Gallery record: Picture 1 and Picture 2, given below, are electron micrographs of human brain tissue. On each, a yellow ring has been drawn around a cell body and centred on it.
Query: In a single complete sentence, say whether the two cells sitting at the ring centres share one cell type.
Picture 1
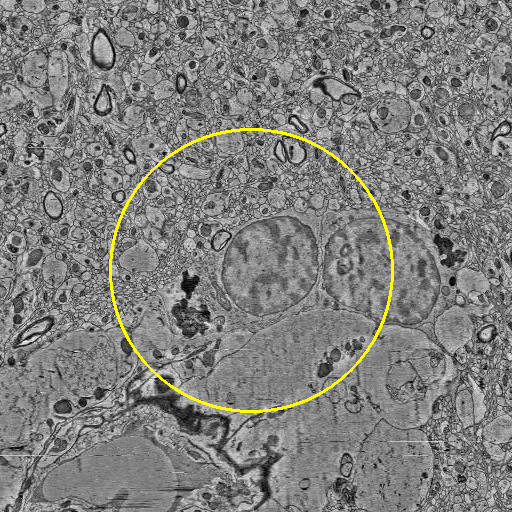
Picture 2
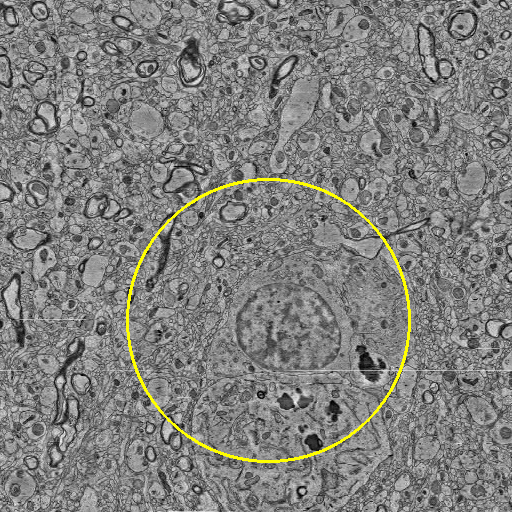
Yes, in both pictures the cell at the ring's centre is of one and the same type.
